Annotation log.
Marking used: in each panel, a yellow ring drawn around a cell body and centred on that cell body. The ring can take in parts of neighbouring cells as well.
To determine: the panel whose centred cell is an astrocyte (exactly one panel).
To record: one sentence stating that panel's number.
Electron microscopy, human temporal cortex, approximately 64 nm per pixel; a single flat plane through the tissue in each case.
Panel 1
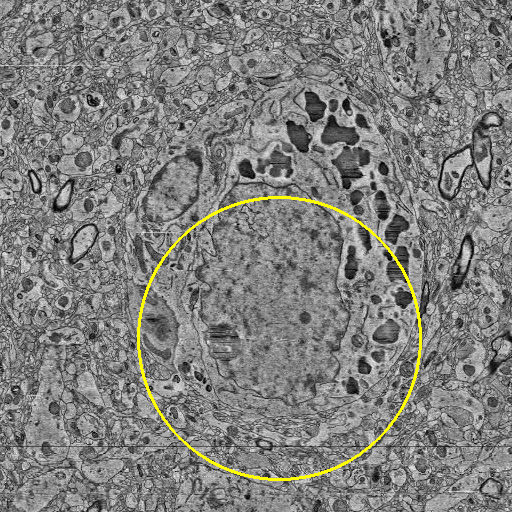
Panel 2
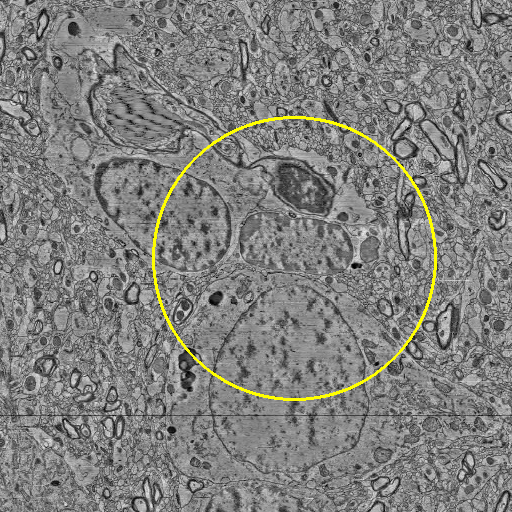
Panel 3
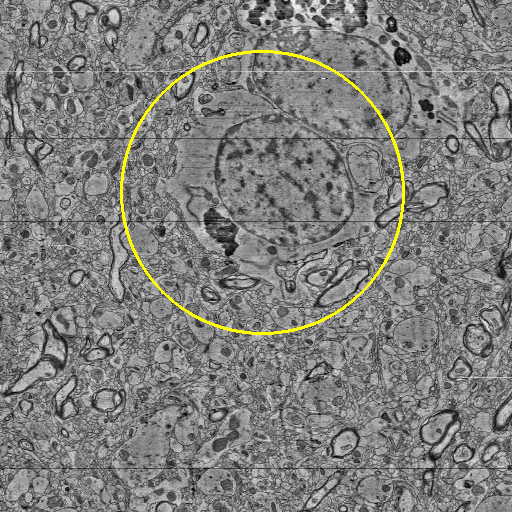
Panel 3 shows it at the centre of its ring.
